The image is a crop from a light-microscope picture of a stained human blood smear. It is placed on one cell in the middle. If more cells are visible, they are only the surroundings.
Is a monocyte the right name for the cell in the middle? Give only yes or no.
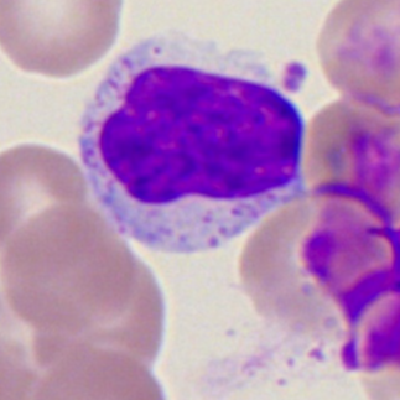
no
